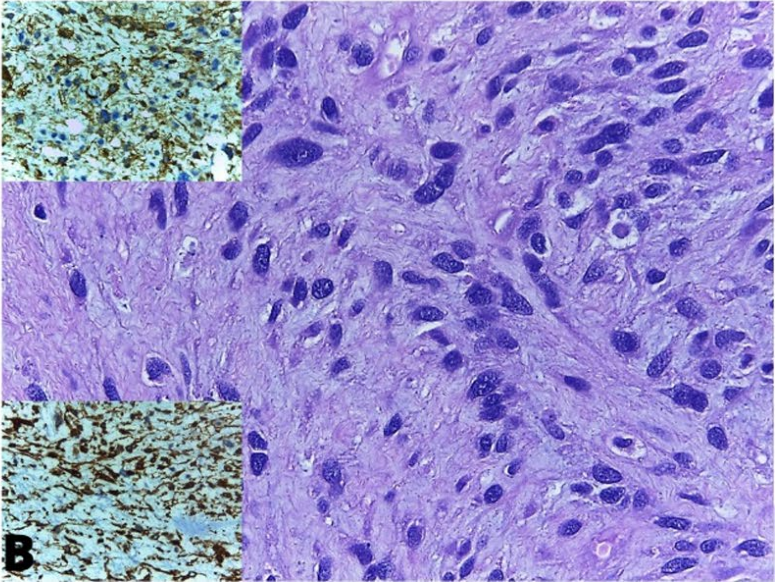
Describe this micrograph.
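These are neoplastic spindle cells seen up close, lying in a pale pink-purple, loose stroma. Their nuclei are elongated and darkly stained, and they vary noticeably in size and shape from one cell to the next. In the two small insets the cells' cytoplasm is outlined in brown against a blue background.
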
